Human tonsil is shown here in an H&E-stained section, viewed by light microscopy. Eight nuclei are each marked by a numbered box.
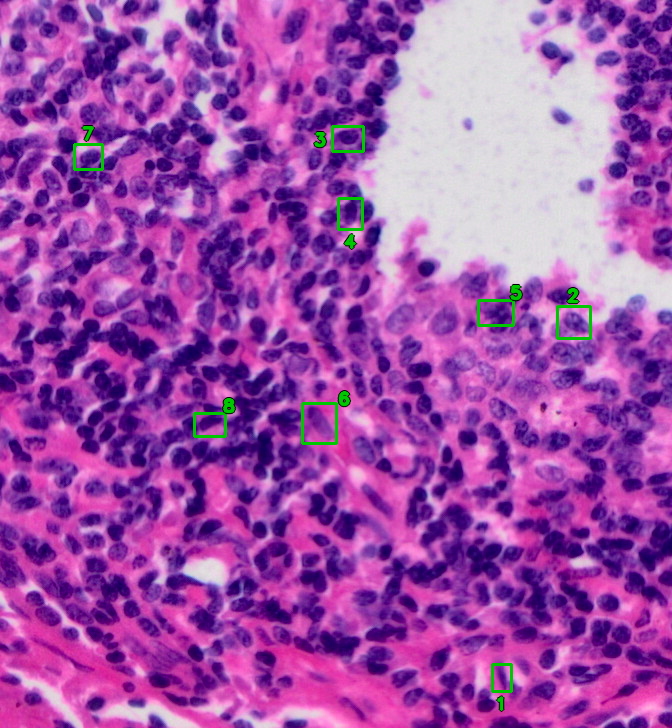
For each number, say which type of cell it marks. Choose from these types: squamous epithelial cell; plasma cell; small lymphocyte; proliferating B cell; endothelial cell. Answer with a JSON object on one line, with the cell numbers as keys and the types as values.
{"1": "endothelial cell", "2": "proliferating B cell", "3": "small lymphocyte", "4": "small lymphocyte", "5": "proliferating B cell", "6": "endothelial cell", "7": "small lymphocyte", "8": "small lymphocyte"}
